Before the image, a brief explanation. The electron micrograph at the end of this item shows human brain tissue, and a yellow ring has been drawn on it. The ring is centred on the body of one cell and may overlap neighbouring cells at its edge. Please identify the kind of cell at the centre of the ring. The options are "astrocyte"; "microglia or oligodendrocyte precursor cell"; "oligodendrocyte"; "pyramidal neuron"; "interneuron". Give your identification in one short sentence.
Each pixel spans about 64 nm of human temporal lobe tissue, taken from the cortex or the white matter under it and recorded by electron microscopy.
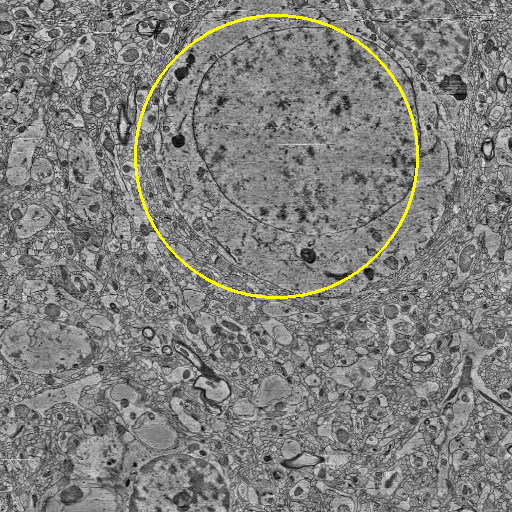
The ring has been placed around a pyramidal neuron.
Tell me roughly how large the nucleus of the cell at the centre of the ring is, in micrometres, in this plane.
Approximately 15 micrometres across in this plane.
